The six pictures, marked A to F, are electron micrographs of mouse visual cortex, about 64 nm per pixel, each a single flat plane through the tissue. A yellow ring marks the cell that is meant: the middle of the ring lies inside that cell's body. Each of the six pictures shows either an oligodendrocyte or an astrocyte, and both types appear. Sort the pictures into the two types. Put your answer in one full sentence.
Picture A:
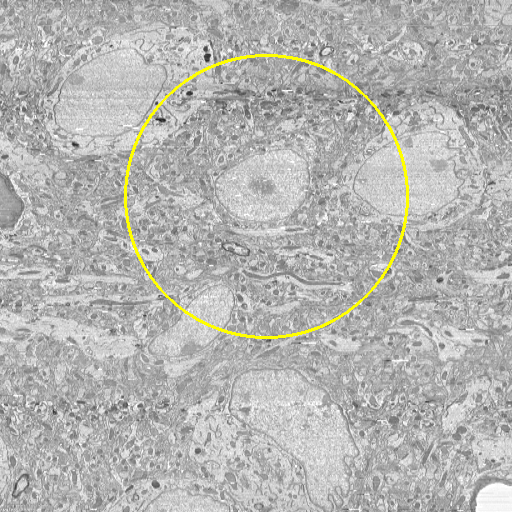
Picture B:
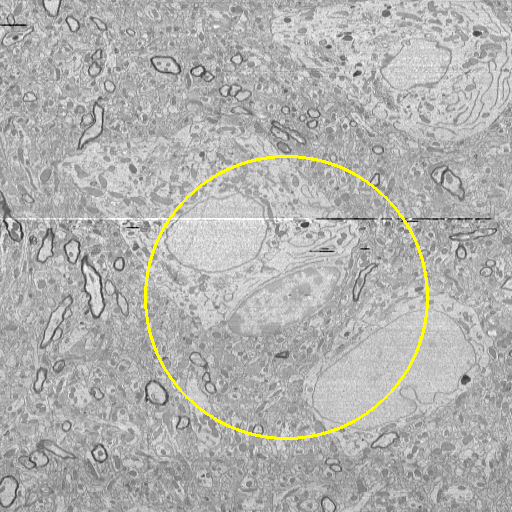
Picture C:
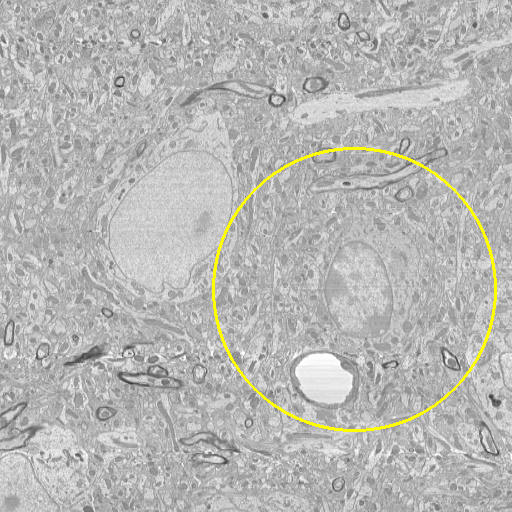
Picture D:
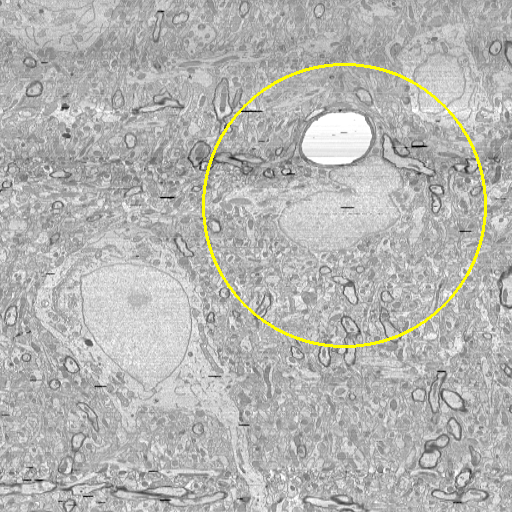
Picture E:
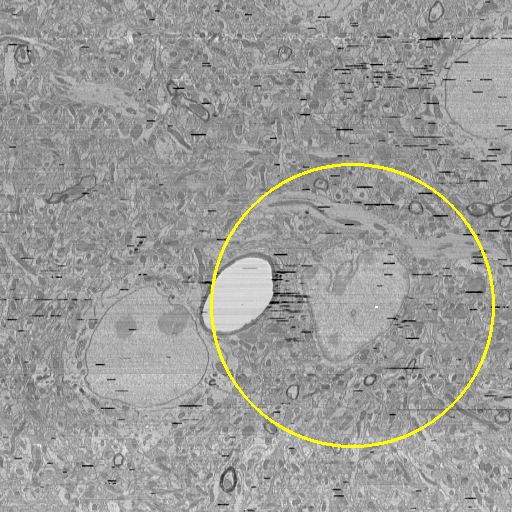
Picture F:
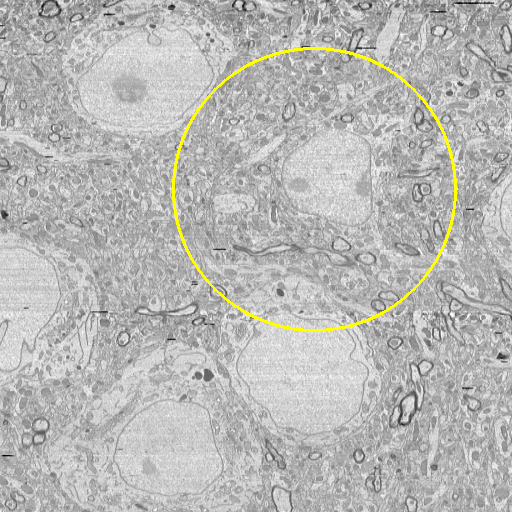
Pictures B and C show oligodendrocytes, while pictures A, D, E and F show astrocytes.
